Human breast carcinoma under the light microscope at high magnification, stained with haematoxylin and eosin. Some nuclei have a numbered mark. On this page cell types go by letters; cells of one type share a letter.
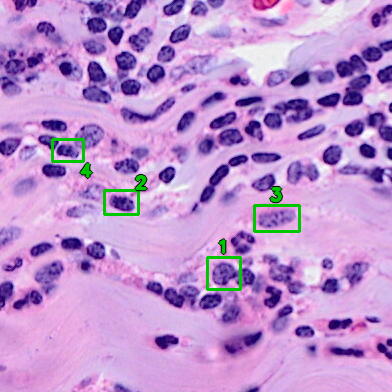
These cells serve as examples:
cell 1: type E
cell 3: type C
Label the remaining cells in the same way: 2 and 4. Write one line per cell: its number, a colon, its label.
2: type E
4: type E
